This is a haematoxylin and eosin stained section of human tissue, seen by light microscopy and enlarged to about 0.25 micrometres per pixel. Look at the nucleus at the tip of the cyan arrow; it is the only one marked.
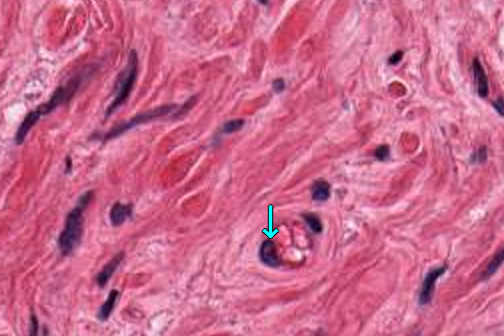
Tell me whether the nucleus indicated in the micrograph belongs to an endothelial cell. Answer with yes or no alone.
yes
